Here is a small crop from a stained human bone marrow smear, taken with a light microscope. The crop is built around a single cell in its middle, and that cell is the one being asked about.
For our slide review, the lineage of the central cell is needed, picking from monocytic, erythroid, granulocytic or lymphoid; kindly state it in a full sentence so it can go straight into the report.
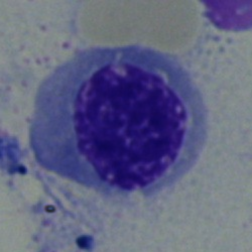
The lineage of the central cell is the erythroid lineage.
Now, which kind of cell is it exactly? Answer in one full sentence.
In the central position of this crop, the cell is an erythroblast.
